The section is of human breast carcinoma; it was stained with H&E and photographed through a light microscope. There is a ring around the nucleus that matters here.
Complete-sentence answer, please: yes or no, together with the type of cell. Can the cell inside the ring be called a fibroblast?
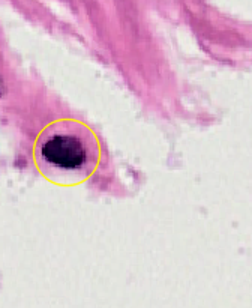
No, just to correct that, the cell inside the ring is a lymphocyte and not a fibroblast.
